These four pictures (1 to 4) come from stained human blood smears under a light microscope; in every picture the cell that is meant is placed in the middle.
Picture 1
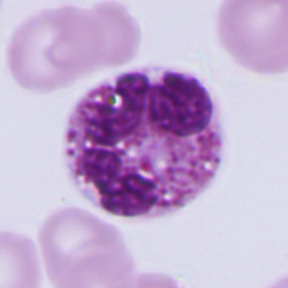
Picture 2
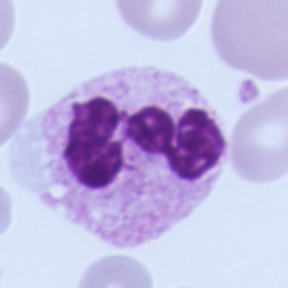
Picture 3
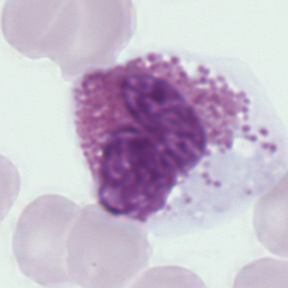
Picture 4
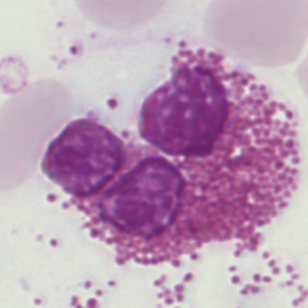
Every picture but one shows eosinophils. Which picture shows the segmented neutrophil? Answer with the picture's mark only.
2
